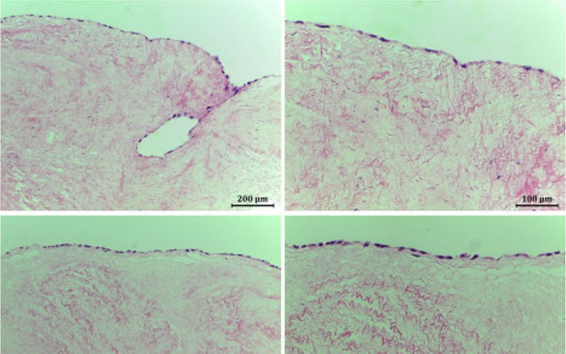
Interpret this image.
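The bulk of each section is pale pink, wavy fibrous matrix in which nuclei are essentially absent. Along the free surface runs a thin, mostly single layer of flattened cells with small dark purple, elongated nuclei. In one low-power view the surface dips into a fold and a small empty cleft lies within the matrix.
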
